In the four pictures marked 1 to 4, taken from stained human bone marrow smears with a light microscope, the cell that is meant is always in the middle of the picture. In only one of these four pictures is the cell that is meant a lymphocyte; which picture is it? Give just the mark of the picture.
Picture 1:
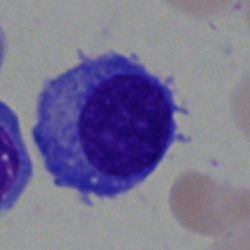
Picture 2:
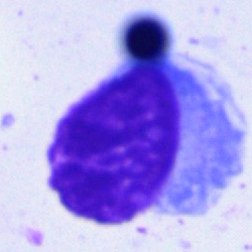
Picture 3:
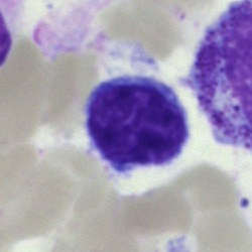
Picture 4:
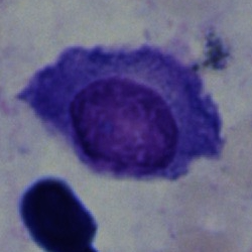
3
